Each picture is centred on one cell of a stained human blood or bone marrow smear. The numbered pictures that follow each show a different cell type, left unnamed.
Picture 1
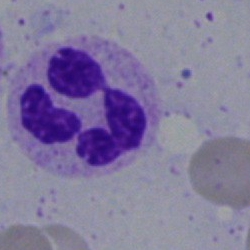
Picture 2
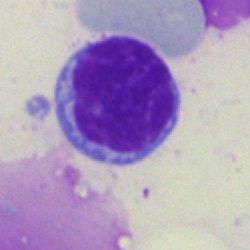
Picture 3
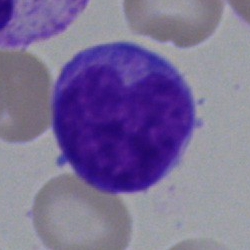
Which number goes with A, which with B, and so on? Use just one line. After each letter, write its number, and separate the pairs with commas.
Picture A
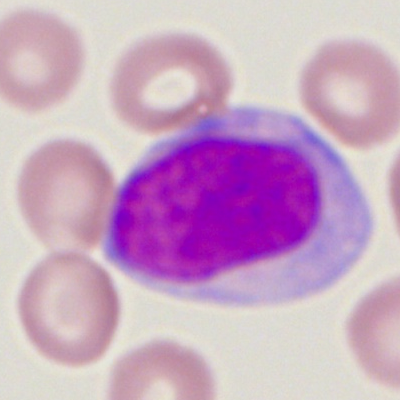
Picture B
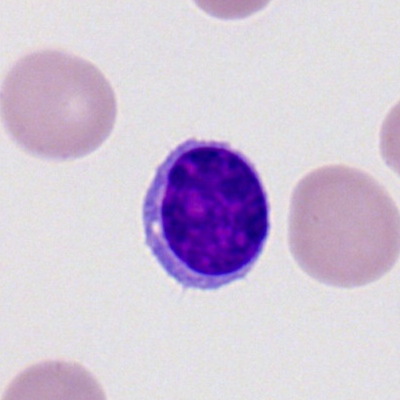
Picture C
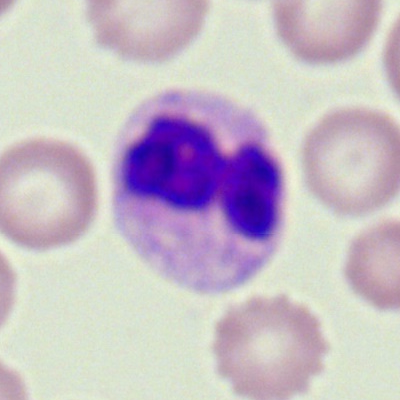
A 3, B 2, C 1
